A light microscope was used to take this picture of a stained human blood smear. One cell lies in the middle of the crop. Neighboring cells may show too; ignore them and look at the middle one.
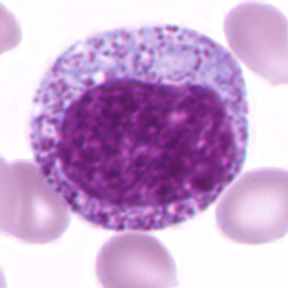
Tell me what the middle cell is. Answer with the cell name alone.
myelocyte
